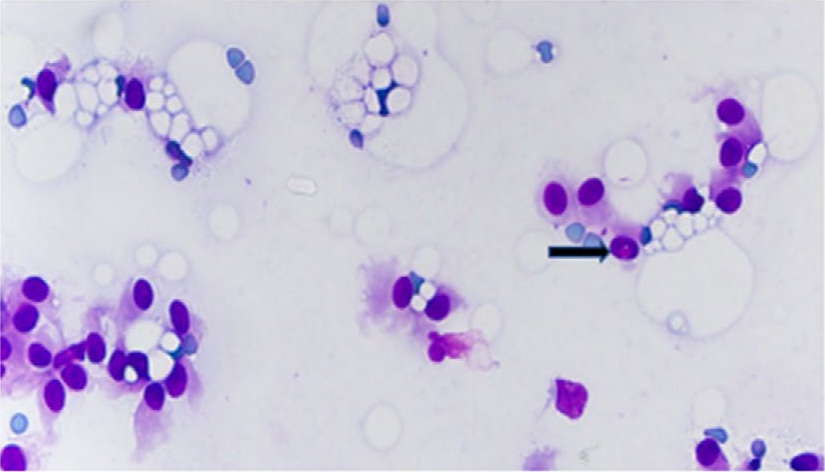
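This smear shows loose clusters of epithelioid cells with oval, deep purple nuclei. Their cytoplasm is pale violet and wispy, and the cell borders are ill defined. The clusters lie among clear round vacuoles of varying size on a pale background.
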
